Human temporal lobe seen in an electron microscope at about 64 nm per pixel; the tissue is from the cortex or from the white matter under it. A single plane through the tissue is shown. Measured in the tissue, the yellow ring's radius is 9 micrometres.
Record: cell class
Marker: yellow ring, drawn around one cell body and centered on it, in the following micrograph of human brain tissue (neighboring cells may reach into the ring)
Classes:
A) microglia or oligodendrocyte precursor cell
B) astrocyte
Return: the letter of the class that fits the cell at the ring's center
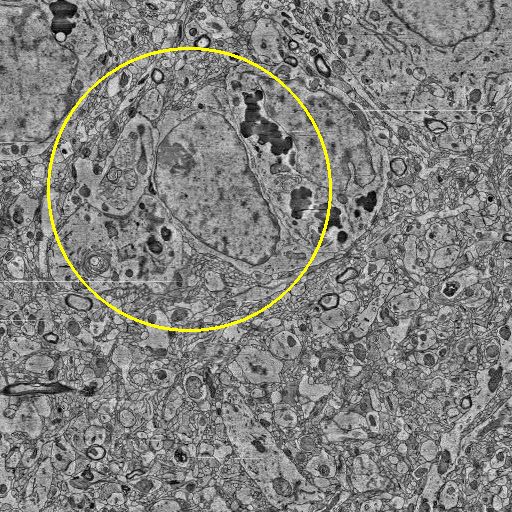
A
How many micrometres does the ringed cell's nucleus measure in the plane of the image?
The nucleus is about 11 micrometres in length and 7 in width, clearly longer than it is wide in this plane.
